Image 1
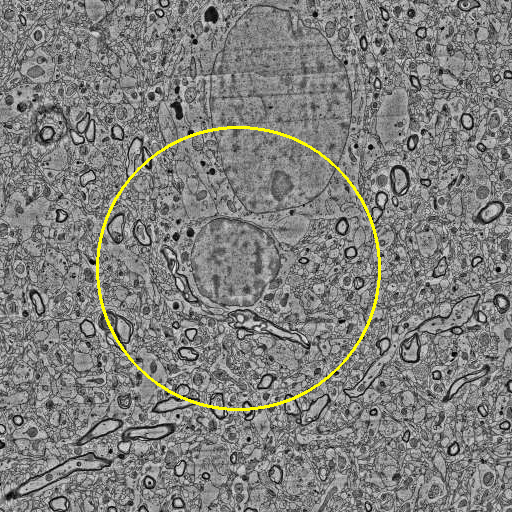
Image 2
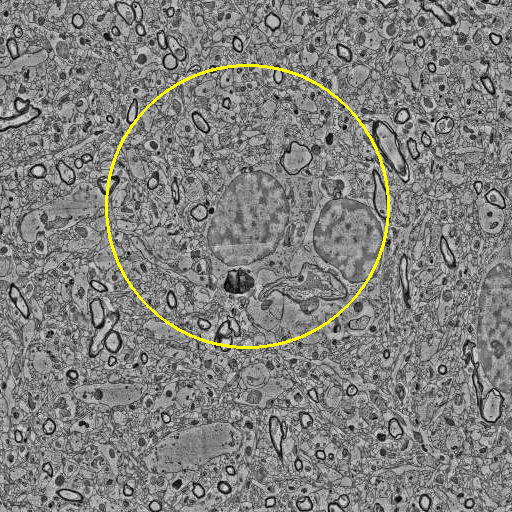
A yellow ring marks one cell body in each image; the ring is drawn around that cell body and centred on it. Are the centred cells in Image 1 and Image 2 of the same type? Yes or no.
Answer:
yes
